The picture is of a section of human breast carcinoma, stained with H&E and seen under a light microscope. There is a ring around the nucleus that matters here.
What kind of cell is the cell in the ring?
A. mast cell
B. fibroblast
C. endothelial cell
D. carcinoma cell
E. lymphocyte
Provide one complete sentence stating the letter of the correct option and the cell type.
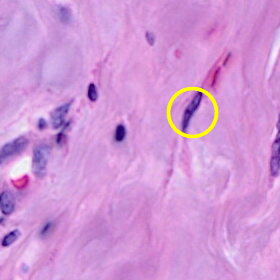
The correct choice is option B; the cell in the ring is a fibroblast.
